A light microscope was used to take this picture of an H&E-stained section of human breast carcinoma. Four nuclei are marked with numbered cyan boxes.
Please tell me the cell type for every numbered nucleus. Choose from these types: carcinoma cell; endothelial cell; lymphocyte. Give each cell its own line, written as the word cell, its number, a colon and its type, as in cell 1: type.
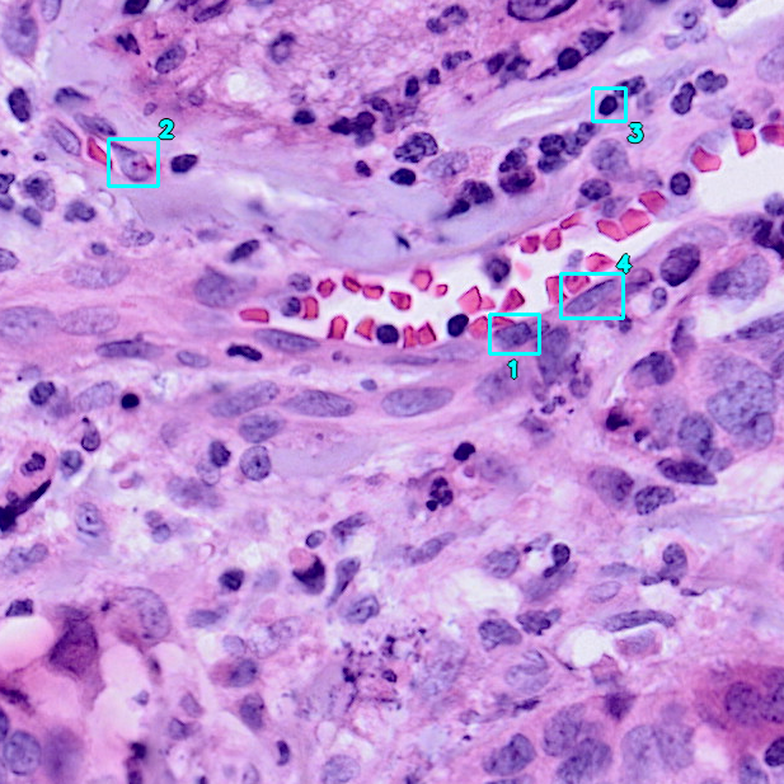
cell 1: endothelial cell
cell 2: endothelial cell
cell 3: lymphocyte
cell 4: endothelial cell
